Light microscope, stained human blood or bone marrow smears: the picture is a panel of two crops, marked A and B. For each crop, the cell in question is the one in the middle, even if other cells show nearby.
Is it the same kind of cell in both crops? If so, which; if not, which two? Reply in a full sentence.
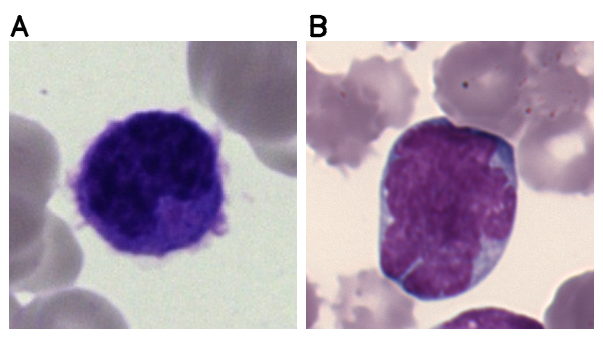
No, in this case crop A shows a monocyte, and crop B shows a blast.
